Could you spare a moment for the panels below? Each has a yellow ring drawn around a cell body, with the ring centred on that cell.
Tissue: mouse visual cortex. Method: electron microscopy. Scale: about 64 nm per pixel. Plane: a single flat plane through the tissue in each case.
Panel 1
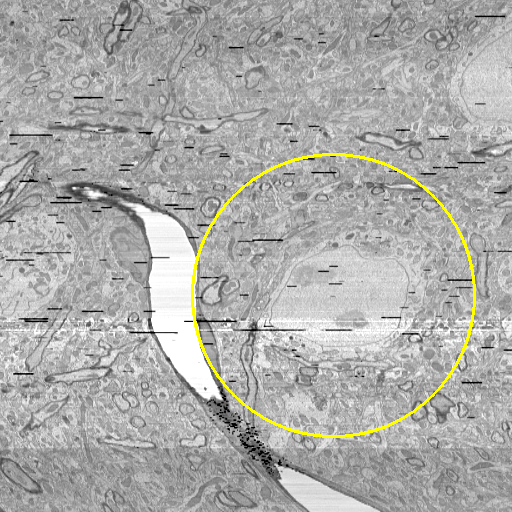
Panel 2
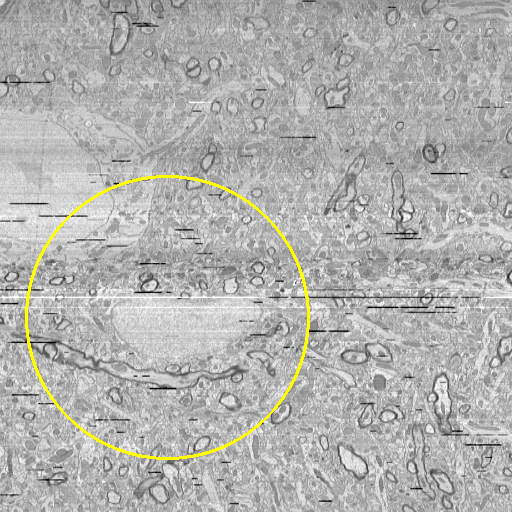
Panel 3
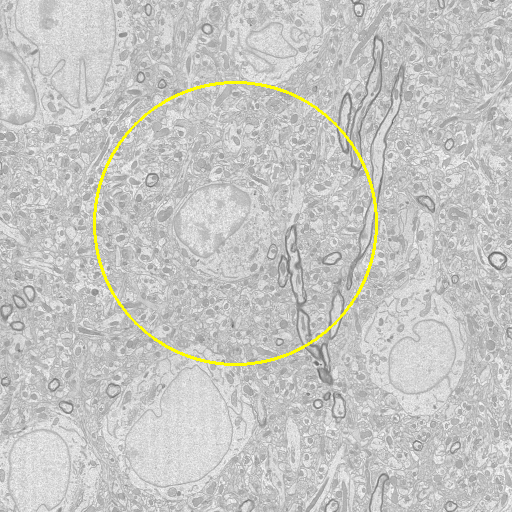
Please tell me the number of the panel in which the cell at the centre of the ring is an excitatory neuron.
1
